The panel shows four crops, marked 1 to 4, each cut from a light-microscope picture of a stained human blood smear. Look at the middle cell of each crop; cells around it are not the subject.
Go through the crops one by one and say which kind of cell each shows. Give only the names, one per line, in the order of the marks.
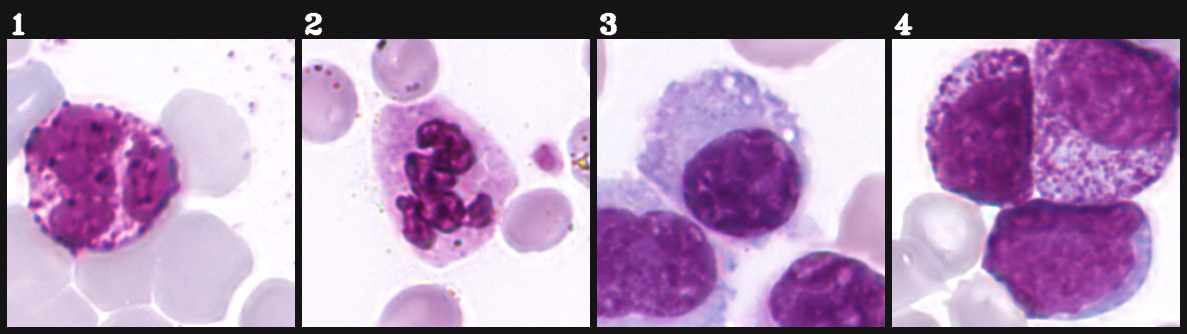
basophil
segmented neutrophil
plasma cell
myelocyte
